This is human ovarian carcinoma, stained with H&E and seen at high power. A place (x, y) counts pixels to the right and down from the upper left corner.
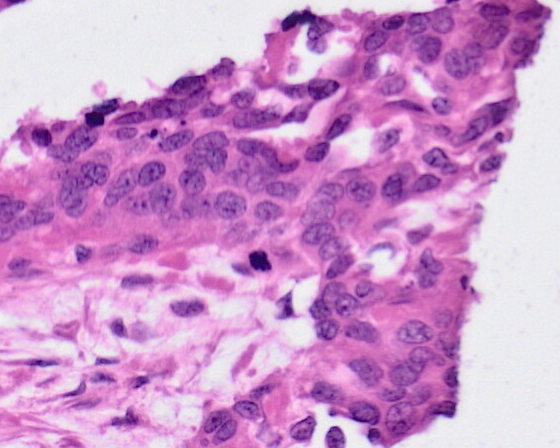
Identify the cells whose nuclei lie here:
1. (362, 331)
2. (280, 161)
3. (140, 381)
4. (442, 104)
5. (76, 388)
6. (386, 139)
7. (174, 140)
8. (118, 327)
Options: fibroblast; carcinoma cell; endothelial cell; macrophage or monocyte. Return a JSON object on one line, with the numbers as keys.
{"1": "carcinoma cell", "2": "carcinoma cell", "3": "fibroblast", "4": "macrophage or monocyte", "5": "fibroblast", "6": "macrophage or monocyte", "7": "carcinoma cell", "8": "fibroblast"}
